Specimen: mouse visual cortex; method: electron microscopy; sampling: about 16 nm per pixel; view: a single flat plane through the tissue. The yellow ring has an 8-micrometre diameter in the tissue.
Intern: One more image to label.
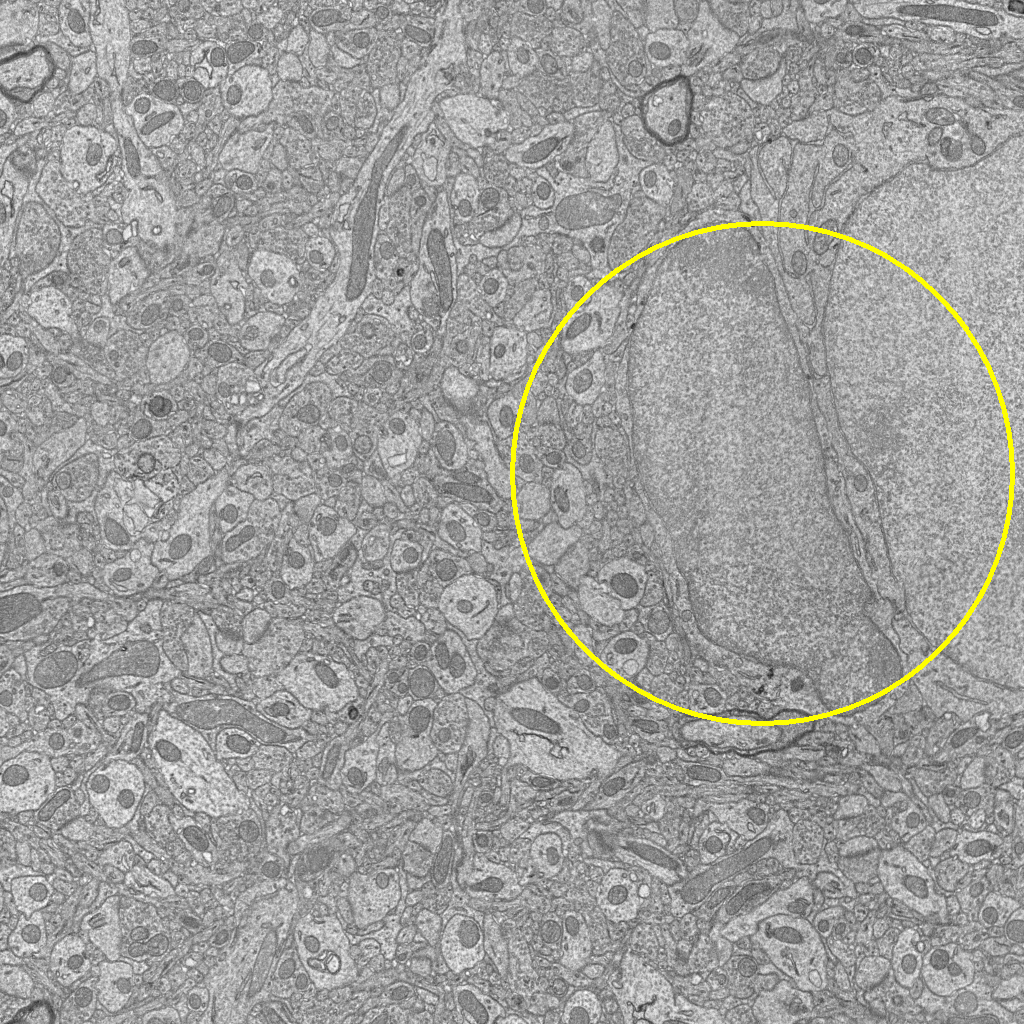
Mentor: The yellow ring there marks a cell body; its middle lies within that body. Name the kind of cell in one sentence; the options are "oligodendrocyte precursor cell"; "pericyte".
The ring marks the cell body of an oligodendrocyte precursor cell.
